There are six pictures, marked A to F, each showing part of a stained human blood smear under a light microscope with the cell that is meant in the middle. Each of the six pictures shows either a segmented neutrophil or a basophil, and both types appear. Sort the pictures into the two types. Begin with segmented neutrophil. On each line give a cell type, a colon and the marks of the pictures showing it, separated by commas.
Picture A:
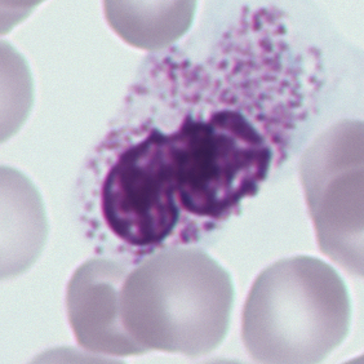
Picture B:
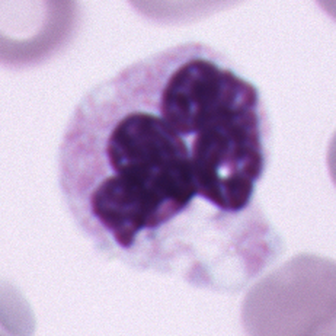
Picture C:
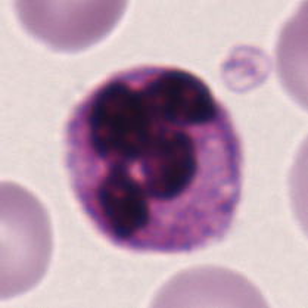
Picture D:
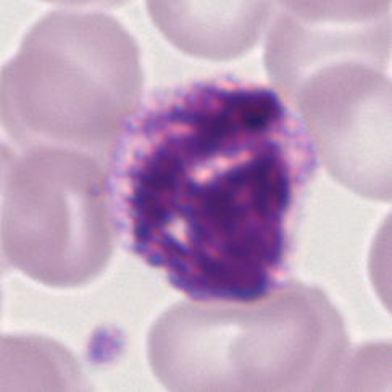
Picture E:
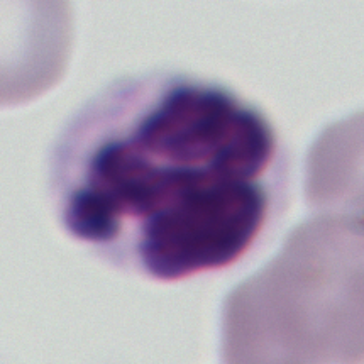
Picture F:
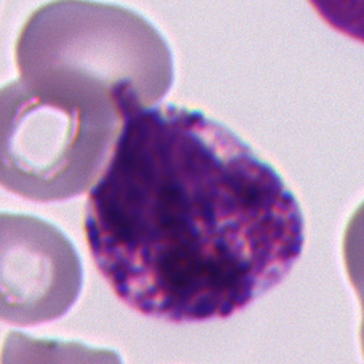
segmented neutrophil: A, B, C, E
basophil: D, F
